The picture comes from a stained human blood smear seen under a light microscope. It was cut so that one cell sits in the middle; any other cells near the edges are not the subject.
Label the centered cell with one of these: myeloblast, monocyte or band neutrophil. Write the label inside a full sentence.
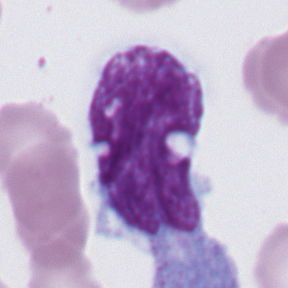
The cell around which this crop is centred is a monocyte.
